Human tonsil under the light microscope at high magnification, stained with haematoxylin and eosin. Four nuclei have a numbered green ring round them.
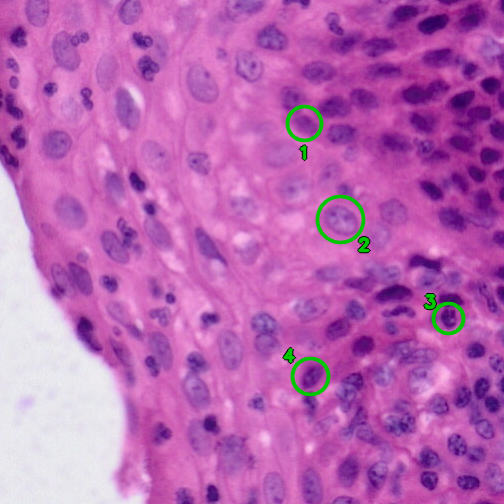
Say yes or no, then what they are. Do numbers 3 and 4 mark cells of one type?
No, cell 3 is a plasma cell and cell 4 is a squamous epithelial cell.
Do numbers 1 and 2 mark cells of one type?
Yes, both are squamous epithelial cells.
